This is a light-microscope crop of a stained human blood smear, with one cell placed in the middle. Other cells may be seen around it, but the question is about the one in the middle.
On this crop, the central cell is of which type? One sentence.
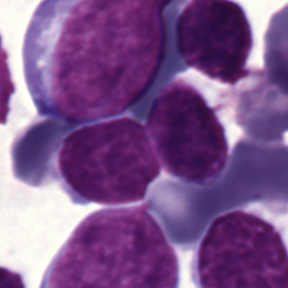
The center cell of this crop is a myeloblast.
